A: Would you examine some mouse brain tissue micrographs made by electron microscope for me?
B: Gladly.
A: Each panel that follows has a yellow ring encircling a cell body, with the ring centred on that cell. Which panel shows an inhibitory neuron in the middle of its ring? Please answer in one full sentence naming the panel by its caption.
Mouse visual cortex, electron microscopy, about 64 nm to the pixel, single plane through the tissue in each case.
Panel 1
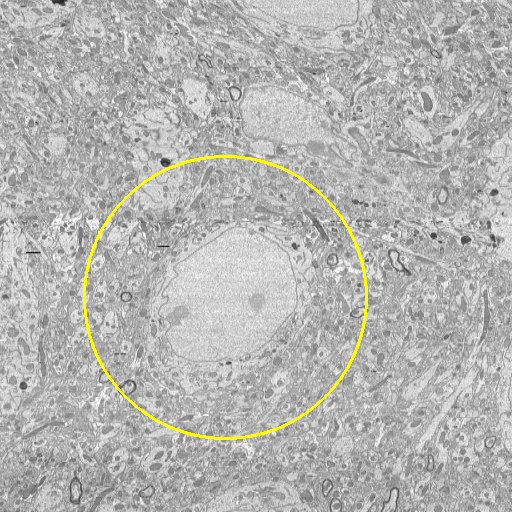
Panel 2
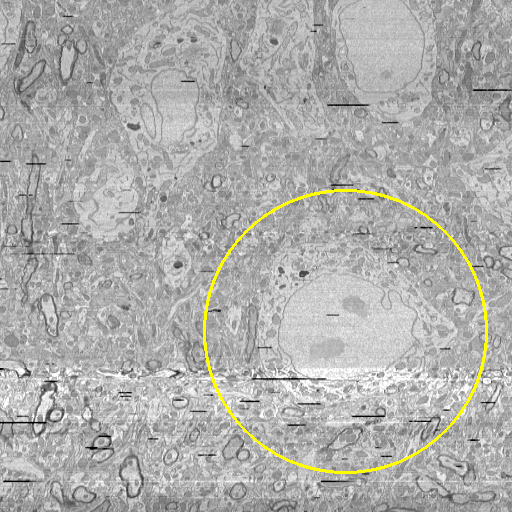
Panel 2 is where the ring sits centred on the requested cell.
